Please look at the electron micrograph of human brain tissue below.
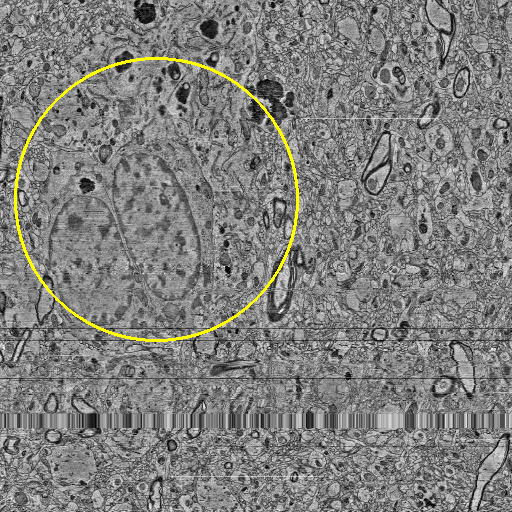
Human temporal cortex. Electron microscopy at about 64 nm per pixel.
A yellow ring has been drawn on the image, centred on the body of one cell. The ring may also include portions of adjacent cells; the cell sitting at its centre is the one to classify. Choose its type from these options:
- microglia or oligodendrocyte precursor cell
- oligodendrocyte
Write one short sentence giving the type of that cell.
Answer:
The cell in the middle of the ring is an oligodendrocyte.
